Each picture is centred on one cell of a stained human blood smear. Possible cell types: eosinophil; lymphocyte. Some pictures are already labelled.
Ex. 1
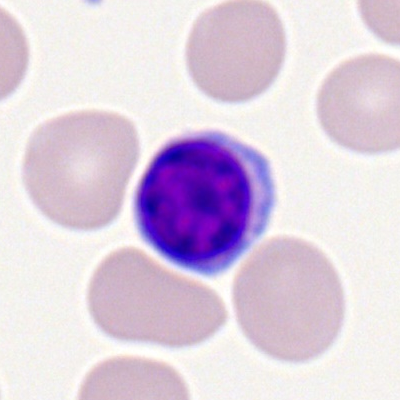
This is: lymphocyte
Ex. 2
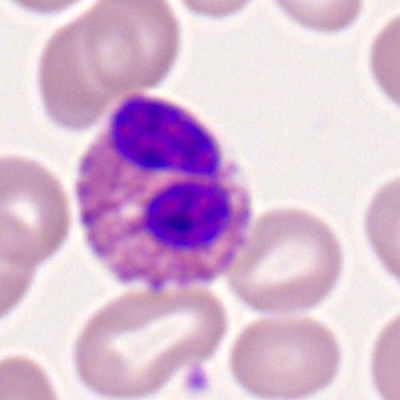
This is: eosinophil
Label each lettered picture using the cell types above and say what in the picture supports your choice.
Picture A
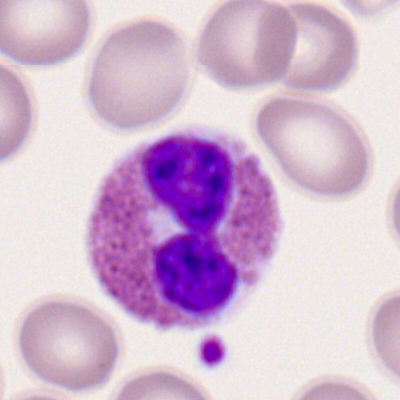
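eosinophil. Evidence: The nucleus has two lobes, one above the other, joined by a narrow waist.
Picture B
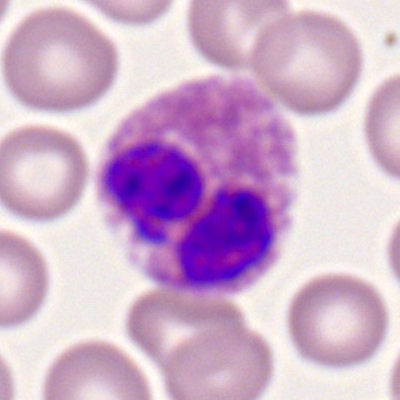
eosinophil. Evidence: The cytoplasm is packed with coarse pink granules.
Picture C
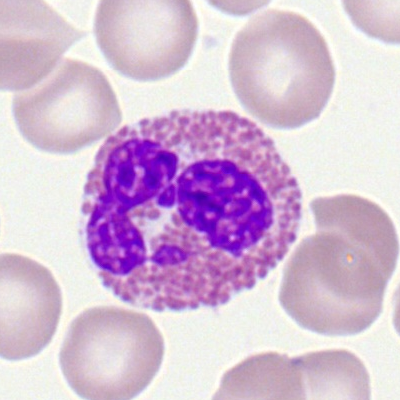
eosinophil. Evidence: The nucleus is divided into several separate lobes.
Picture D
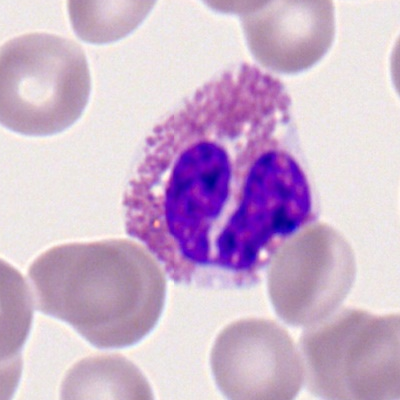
eosinophil. Evidence: The granules are most crowded in the cytoplasm above the nucleus.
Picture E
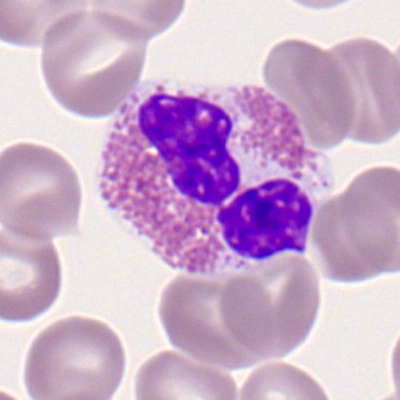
eosinophil. Evidence: The nucleus has two lobes.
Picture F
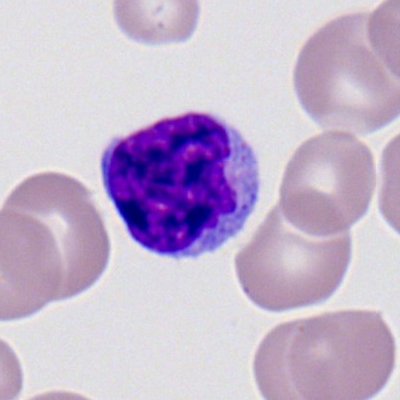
lymphocyte. Evidence: The cytoplasm is a scant, pale blue rim.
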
